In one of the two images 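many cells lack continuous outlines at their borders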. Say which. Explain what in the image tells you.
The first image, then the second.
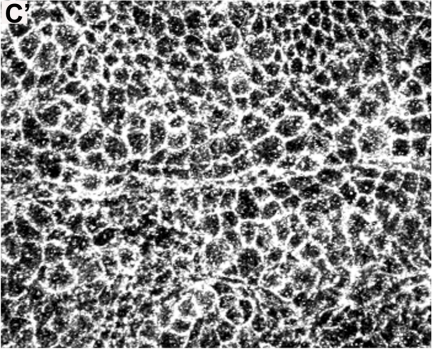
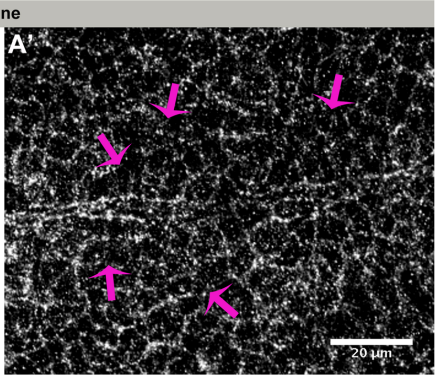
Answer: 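The second image. Second image: cell borders appear as faint, broken, dotted lines. First image: bright continuous outlines surround nearly every polygonal cell.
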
